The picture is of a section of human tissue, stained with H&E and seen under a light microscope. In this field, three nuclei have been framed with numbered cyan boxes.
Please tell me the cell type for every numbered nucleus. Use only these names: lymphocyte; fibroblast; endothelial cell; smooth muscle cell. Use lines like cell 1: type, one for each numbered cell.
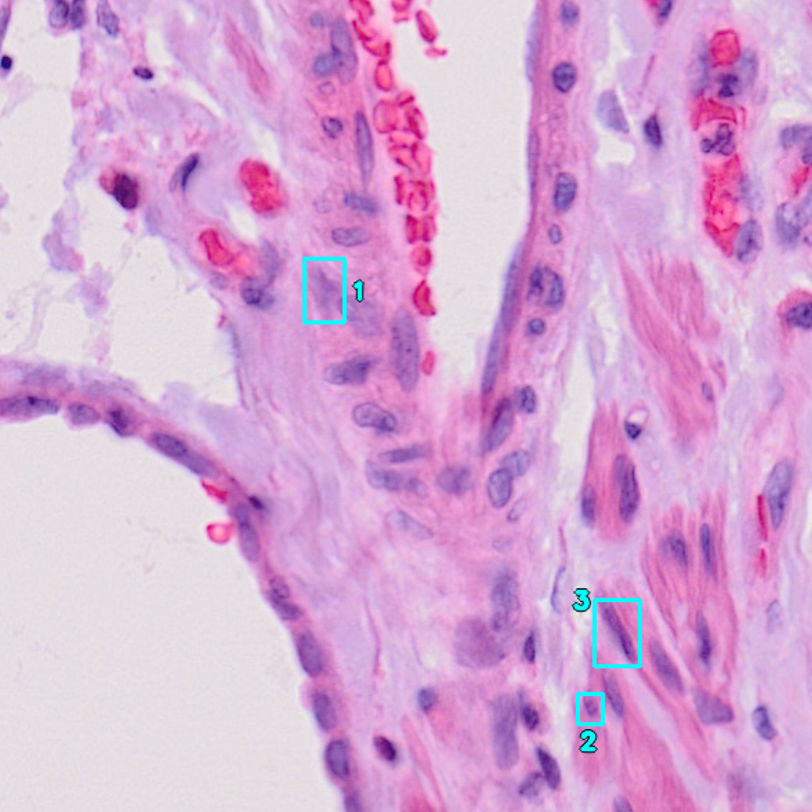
cell 1: fibroblast
cell 2: smooth muscle cell
cell 3: smooth muscle cell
